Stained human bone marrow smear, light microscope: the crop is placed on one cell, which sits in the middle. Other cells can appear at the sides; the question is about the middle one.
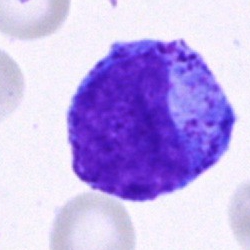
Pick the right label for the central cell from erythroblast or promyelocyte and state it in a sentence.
The central element of this crop is a cell, namely a promyelocyte.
